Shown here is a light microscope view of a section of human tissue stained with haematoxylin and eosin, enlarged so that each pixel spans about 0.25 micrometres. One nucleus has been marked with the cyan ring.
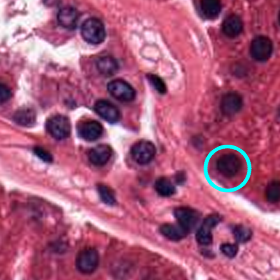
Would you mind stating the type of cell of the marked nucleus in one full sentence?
Singled out by the mark is the nucleus of a proximal tubule cell.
